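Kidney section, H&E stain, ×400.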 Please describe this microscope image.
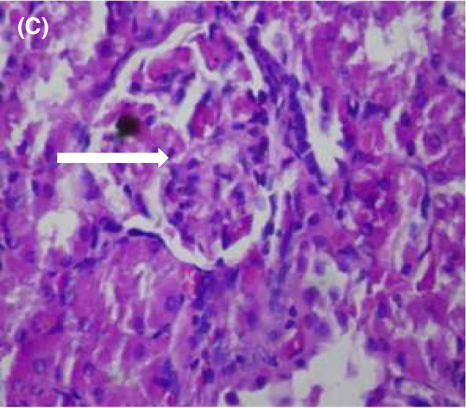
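Renal cortex centred on a large glomerulus: a rounded tuft of capillary loops and cells with dark purple nuclei, separated from a thin Bowman's capsule by a clear space. Surrounding convoluted tubules are lined by cuboidal epithelium with pink cytoplasm and round nuclei; some tubular lumina are widened and clear. A band of more densely packed purple nuclei runs beside the glomerulus.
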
